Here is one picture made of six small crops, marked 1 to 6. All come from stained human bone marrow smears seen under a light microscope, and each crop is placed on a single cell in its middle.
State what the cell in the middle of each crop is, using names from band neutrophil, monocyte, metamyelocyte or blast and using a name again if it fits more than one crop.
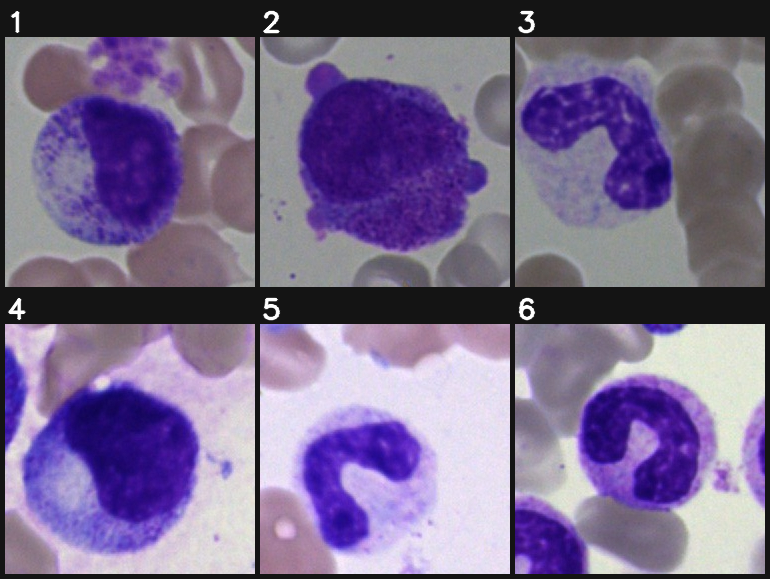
1: metamyelocyte
2: blast
3: band neutrophil
4: metamyelocyte
5: band neutrophil
6: band neutrophil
